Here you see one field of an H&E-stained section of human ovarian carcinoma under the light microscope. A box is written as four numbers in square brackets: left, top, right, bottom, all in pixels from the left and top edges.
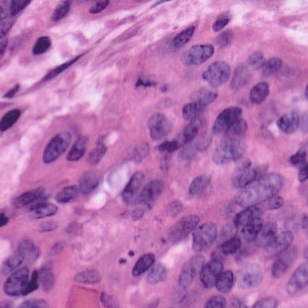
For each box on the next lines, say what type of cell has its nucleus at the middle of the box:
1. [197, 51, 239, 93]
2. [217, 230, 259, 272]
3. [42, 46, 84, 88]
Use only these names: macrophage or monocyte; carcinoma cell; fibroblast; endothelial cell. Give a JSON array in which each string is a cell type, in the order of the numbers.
["carcinoma cell", "carcinoma cell", "fibroblast"]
